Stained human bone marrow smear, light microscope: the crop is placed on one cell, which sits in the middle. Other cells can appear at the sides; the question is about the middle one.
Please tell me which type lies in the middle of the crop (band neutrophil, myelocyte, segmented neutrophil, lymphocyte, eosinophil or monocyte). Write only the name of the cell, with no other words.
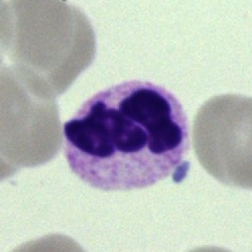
segmented neutrophil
